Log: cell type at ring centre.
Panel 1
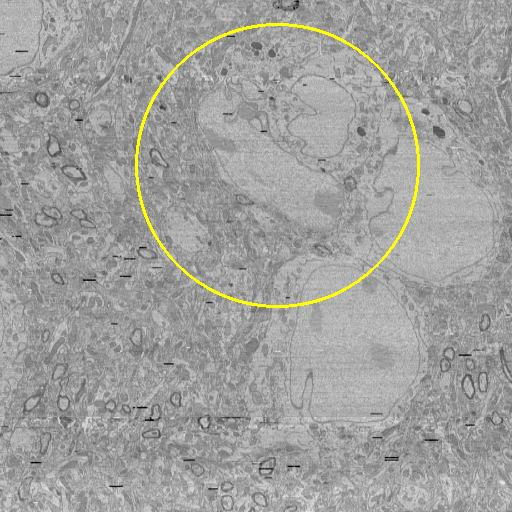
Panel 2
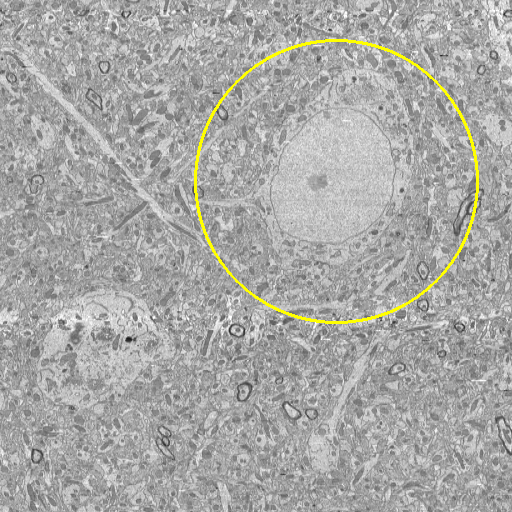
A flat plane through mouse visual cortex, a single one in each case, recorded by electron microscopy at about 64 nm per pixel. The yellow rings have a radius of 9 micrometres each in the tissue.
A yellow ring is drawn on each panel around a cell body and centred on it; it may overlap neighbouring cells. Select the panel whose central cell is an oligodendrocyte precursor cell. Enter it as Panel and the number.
Panel 1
